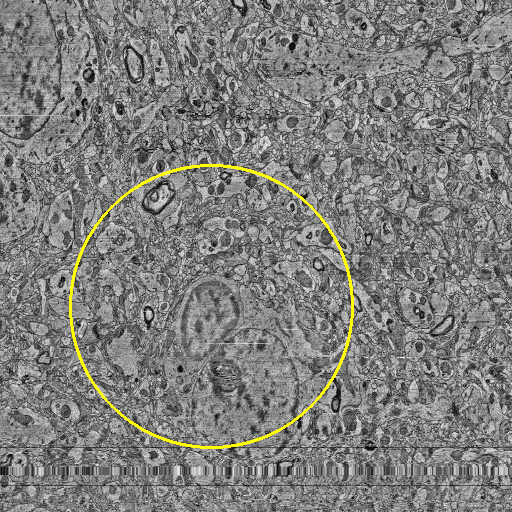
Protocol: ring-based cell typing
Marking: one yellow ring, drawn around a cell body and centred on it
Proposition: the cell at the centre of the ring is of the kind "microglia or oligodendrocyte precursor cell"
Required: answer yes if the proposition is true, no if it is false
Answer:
no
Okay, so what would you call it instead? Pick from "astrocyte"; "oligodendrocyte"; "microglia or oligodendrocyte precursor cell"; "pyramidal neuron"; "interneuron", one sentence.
The ring holds an oligodendrocyte at its centre.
